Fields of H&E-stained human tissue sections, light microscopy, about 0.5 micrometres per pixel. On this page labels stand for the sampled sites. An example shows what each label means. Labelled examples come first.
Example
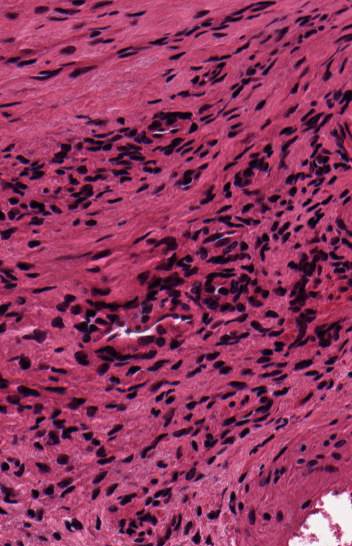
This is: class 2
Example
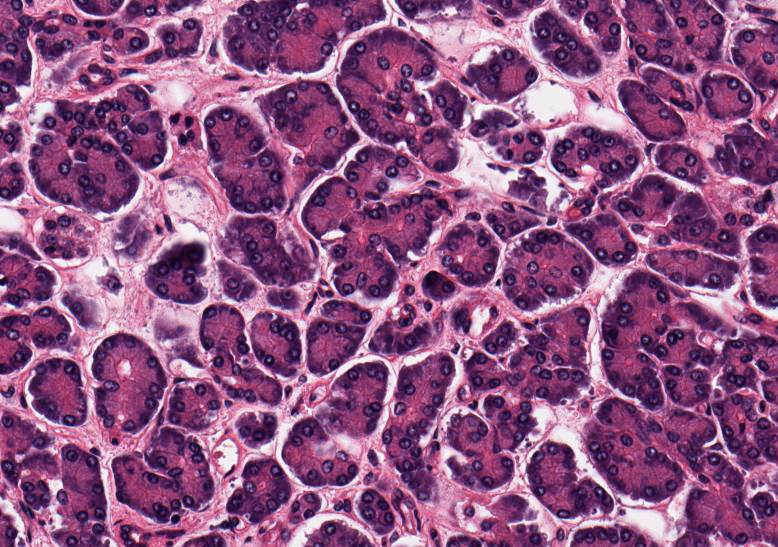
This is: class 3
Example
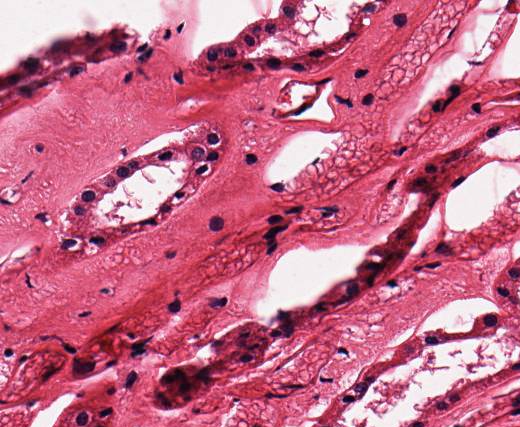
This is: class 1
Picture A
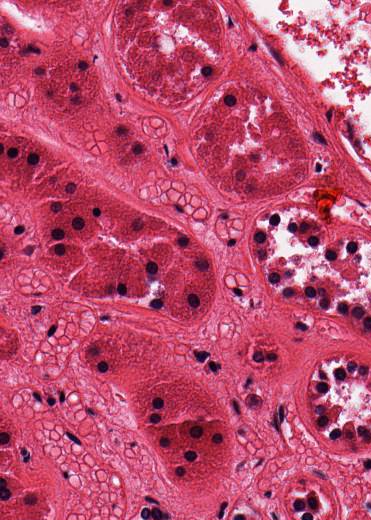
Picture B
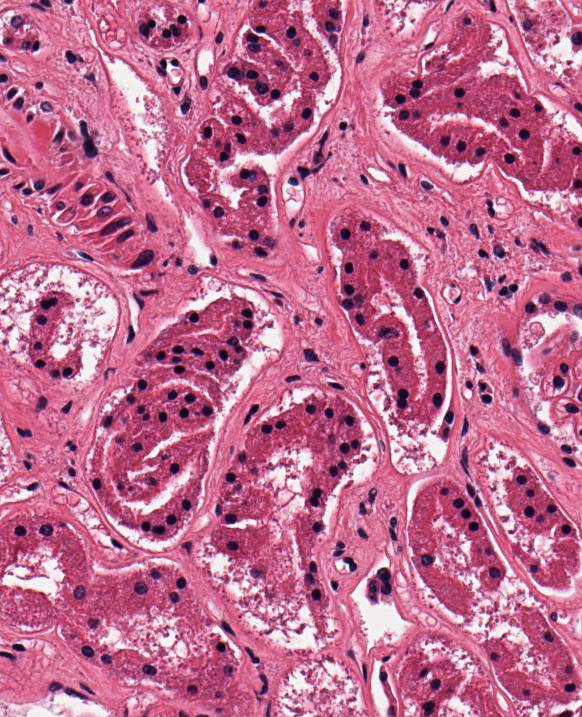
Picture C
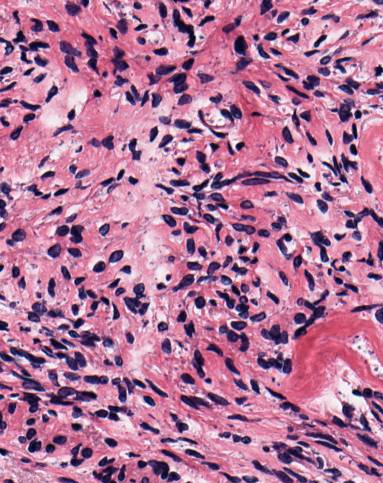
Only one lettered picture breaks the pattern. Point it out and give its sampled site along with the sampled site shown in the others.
Exception: C, showing class 2. Remaining pictures: class 1.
